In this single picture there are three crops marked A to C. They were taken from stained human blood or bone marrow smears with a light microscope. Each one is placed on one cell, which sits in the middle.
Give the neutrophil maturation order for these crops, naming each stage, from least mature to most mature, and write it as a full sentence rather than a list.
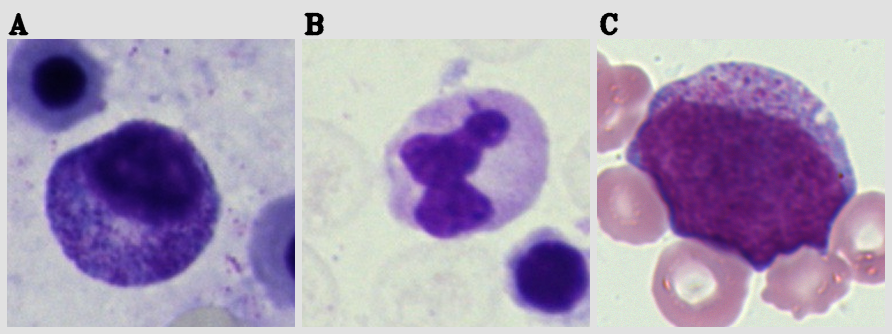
The sequence of maturation runs crop C (a promyelocyte), crop A (a myelocyte) and crop B (a segmented neutrophil), from least to most mature.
